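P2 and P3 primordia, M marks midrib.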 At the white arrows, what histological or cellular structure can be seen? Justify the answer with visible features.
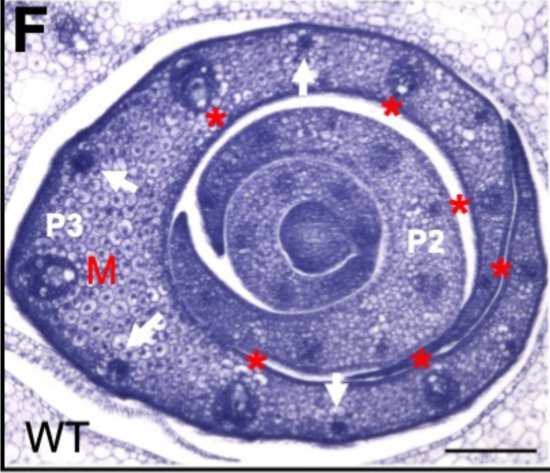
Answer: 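The arrows point at small strands lying between larger vascular clusters. The pointed-at strands are smaller than the neighbouring veins.
Hence: intermediate veins.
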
